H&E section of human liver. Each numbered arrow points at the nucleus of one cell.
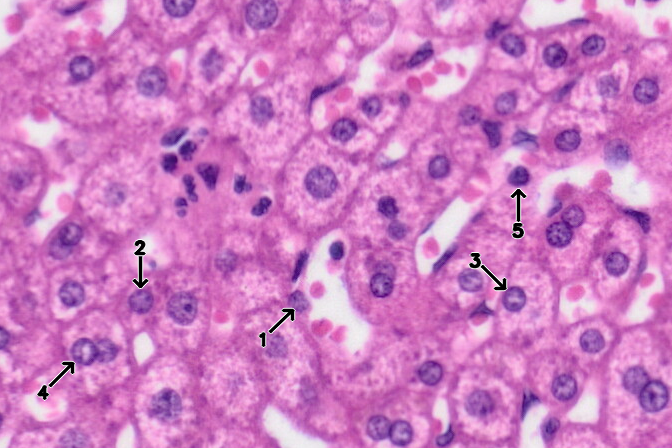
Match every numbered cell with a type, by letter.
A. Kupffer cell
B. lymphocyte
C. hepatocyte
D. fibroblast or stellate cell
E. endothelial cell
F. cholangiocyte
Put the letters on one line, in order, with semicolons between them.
A; C; C; C; B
